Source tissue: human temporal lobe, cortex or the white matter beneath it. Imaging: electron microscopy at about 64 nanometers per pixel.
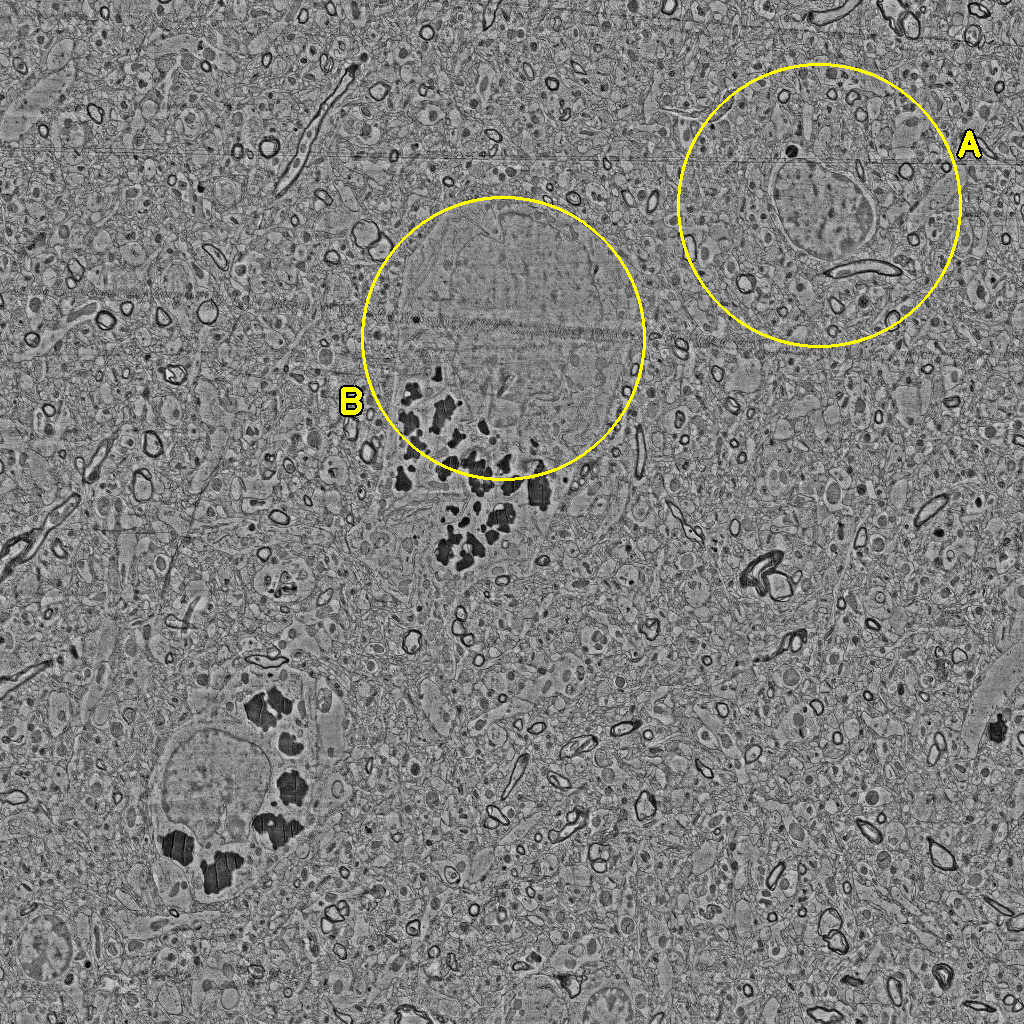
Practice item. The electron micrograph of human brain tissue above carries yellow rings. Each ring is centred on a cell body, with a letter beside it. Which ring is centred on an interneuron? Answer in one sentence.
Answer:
Ring B is centred on it.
